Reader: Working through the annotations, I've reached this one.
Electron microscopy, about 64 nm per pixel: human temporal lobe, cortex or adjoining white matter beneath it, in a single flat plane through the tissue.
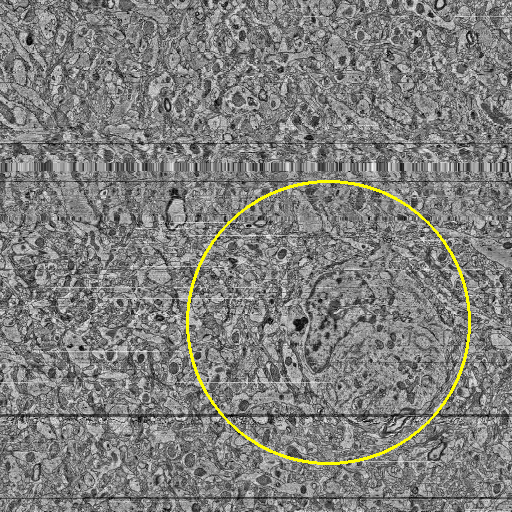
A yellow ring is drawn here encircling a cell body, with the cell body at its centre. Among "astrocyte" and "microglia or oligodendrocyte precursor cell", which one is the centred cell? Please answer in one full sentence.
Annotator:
The cell body at the centre of the yellow ring in this image belongs to a microglial cell or oligodendrocyte precursor cell.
